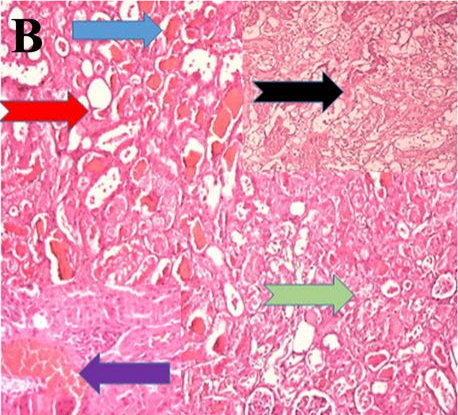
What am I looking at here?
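This is kidney cortex in which the tubules are badly damaged. Many tubule lumens are plugged with smooth, deep pink material forming casts, while others stand widened and empty with a thinned lining. In one part the tissue is pale and washed out, with its tubules and nuclei largely gone, pointing to necrosis. Elsewhere spaces are packed with bright red blood, showing congestion.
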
